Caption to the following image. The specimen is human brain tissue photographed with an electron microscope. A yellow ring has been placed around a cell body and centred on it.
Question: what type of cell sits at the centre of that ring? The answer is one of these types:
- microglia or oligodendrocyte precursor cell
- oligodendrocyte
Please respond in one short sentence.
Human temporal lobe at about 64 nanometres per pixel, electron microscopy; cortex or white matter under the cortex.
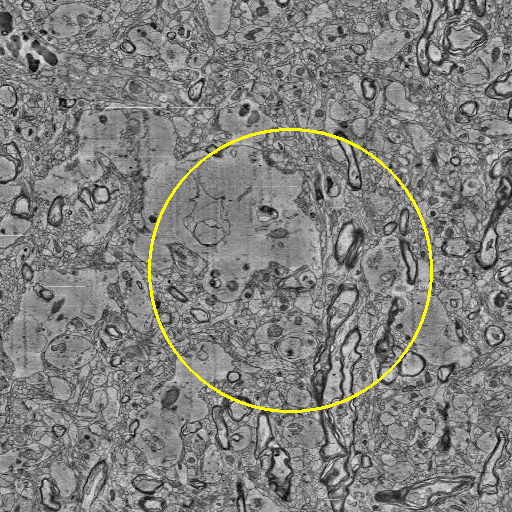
The ring surrounds the cell body of a microglial cell or oligodendrocyte precursor cell.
